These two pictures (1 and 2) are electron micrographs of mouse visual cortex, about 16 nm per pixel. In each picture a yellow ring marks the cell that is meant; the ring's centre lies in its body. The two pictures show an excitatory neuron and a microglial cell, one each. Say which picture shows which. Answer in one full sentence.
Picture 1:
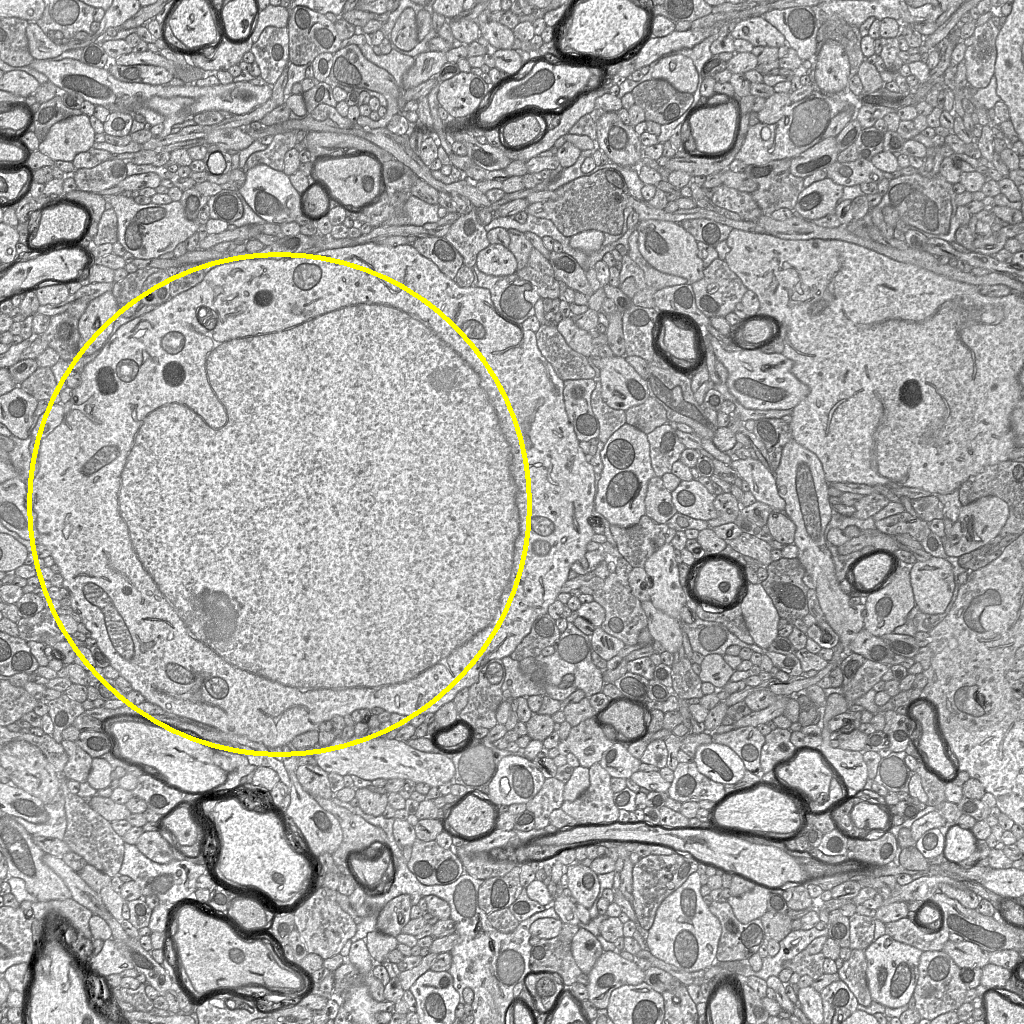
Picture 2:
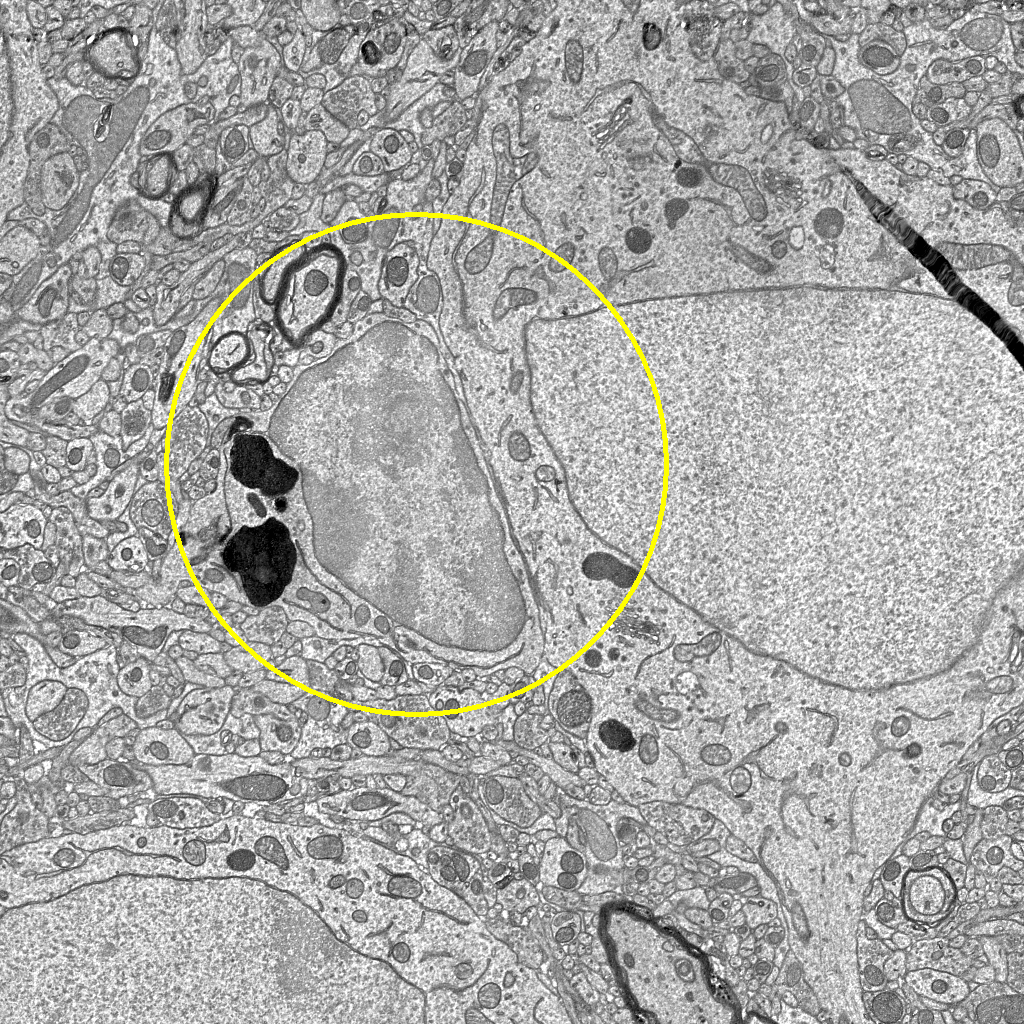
Picture 2 shows a microglial cell, while picture 1 shows an excitatory neuron.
